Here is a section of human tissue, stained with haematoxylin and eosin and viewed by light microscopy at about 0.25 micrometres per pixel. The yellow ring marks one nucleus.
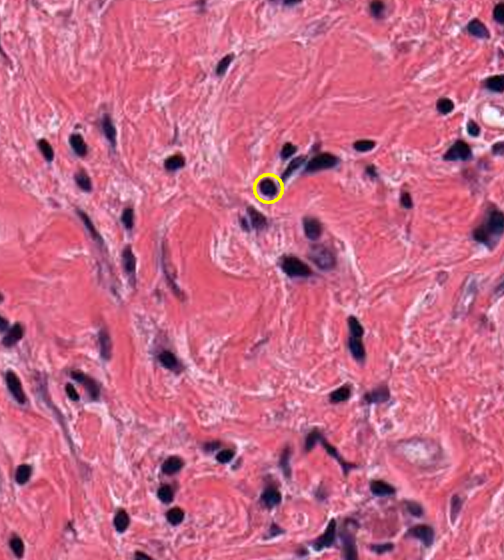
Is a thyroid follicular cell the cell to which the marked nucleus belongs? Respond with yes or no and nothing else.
no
